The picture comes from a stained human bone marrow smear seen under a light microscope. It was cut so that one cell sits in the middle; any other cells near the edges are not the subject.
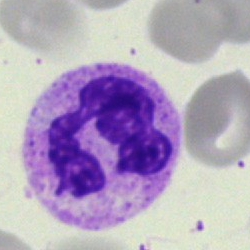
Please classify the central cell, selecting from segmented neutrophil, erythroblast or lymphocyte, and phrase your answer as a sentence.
This crop's central cell is a segmented neutrophil.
